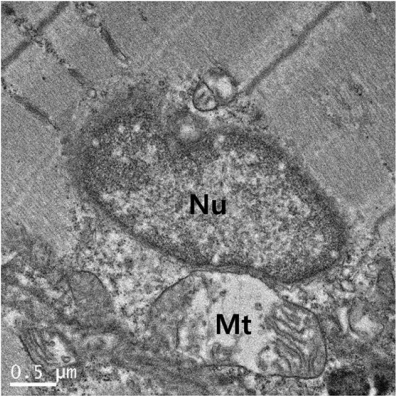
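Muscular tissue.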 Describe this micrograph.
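This electron micrograph of muscle shows a nucleus lying between bundles of striated myofibrils, with a mitochondrion pressed beneath it. The nucleus is oval and bounded by a distinct envelope; its chromatin is coarse and clumped, with dark granules scattered unevenly and denser material along the rim, suggesting condensation. Below it the mitochondrion is enlarged, with a pale, washed-out matrix and only a cluster of folded inner membranes at one side rather than regular cristae throughout. Around both, the cytoplasm is loose and vacuolated with small dark granules, while myofibrils with regular cross-striations run at the upper corners.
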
